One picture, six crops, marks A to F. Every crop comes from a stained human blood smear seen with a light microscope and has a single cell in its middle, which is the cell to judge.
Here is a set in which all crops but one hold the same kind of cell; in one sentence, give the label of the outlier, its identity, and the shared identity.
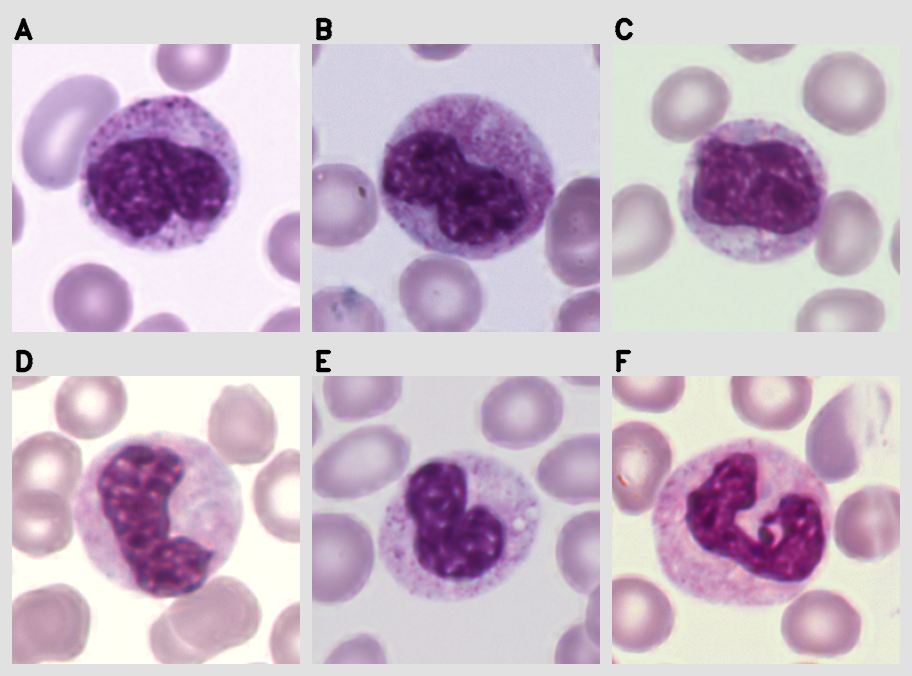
Crop C is the one to flag: it is a metamyelocyte, and the rest show band neutrophils.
